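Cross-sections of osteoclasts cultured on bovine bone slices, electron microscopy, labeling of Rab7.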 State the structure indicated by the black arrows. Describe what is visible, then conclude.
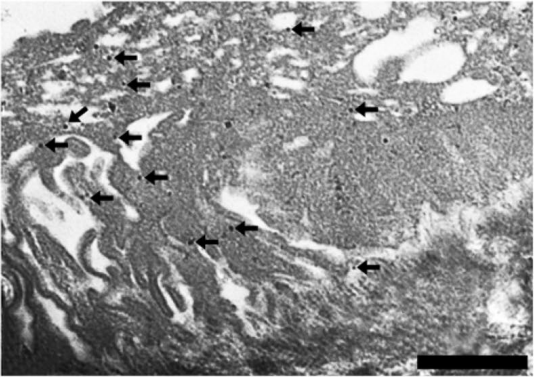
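Each arrow points at a tiny, round, evenly sized black dot. The dots are far denser than the surrounding granular cytoplasm. Many of the dots sit at the rims of clear, membrane-bounded spaces.
Answer: gold beads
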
